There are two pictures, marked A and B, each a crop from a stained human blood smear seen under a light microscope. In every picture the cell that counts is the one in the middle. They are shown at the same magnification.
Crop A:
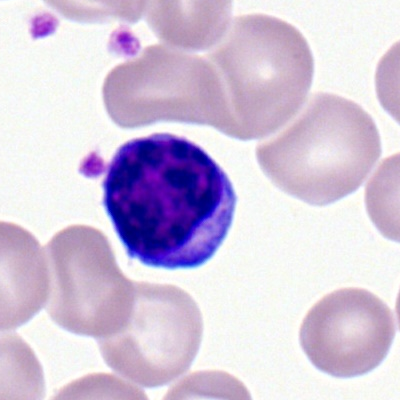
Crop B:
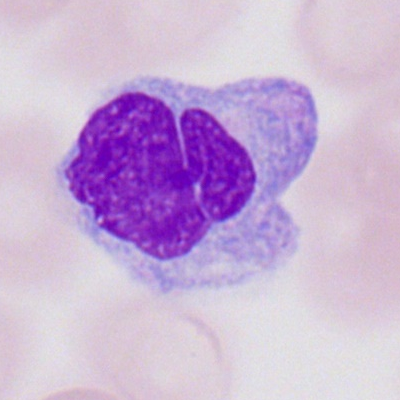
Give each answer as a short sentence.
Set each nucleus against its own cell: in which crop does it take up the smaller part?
The nucleus fills less of the cell in crop B than in crop A.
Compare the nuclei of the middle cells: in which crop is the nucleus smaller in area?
Smaller is the nucleus in crop A, and the other is about 2 times as large in area.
